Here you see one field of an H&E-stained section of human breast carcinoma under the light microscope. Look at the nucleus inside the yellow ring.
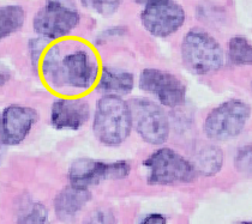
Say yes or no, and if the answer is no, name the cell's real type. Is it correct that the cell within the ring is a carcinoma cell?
Yes.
